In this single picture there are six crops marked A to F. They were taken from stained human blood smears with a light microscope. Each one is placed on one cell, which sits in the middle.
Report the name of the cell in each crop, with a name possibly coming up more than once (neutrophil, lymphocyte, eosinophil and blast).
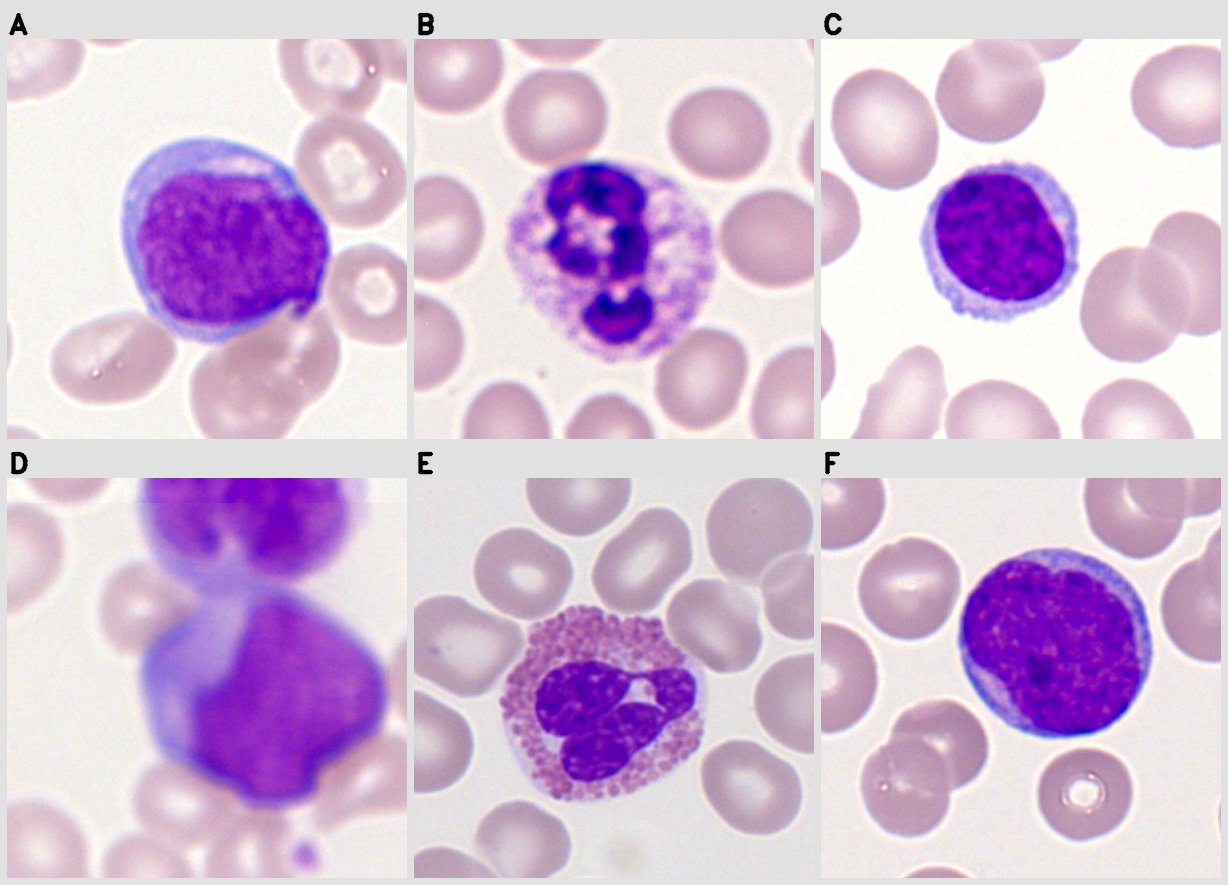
A: blast
B: neutrophil
C: lymphocyte
D: blast
E: eosinophil
F: blast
